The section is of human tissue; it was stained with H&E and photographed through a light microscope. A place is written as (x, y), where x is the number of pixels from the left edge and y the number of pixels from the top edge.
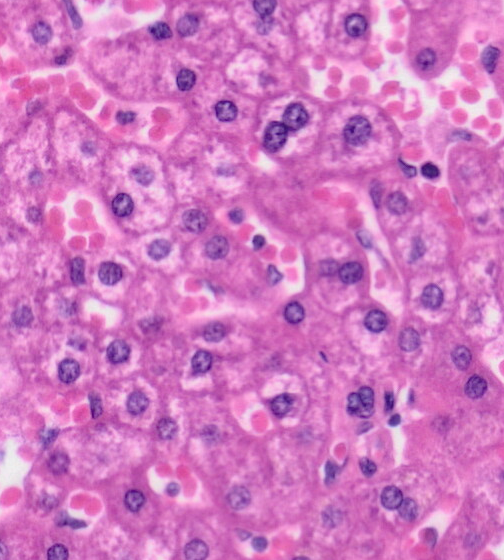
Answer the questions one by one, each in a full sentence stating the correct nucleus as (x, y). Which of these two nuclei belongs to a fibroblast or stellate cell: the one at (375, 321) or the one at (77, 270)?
The nucleus that belongs to a fibroblast or stellate cell sits at (77, 270).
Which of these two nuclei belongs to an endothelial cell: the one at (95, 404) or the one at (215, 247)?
The nucleus at (95, 404) is housed in an endothelial cell.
